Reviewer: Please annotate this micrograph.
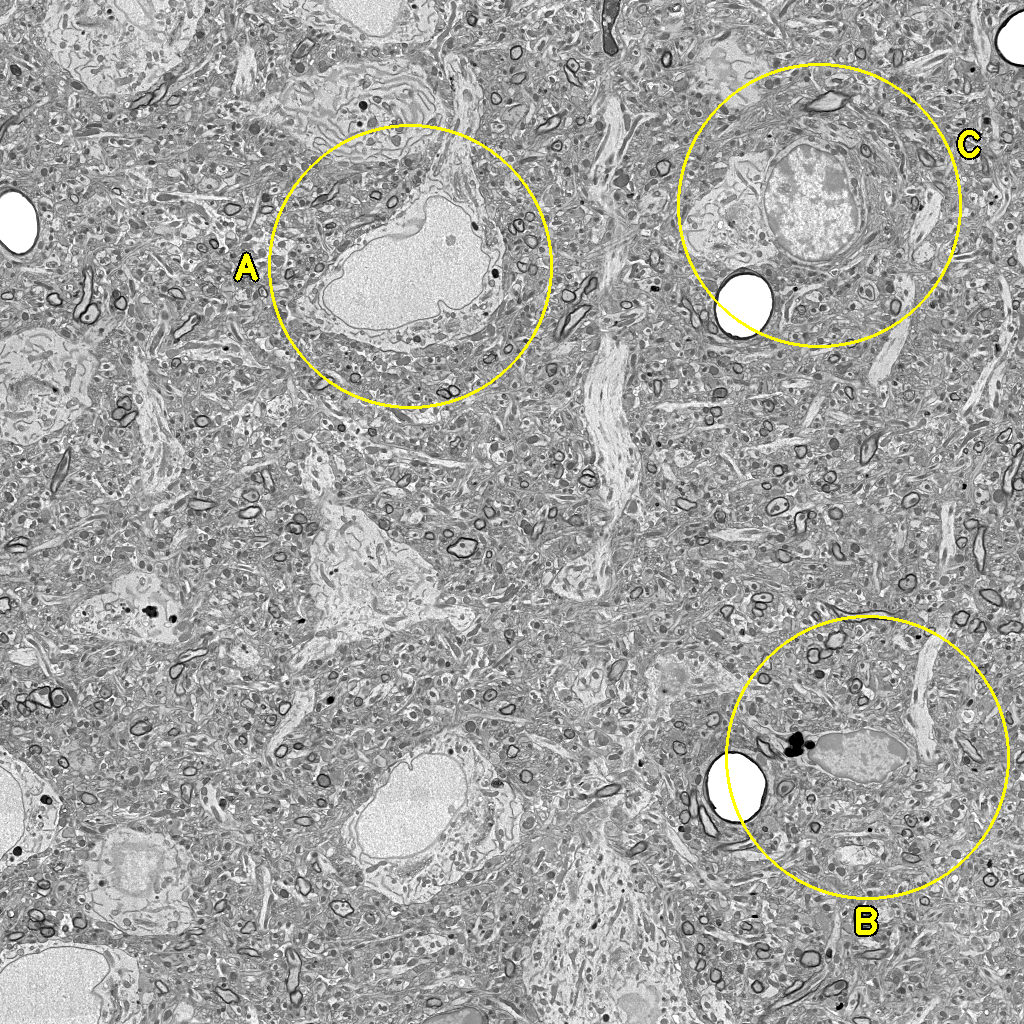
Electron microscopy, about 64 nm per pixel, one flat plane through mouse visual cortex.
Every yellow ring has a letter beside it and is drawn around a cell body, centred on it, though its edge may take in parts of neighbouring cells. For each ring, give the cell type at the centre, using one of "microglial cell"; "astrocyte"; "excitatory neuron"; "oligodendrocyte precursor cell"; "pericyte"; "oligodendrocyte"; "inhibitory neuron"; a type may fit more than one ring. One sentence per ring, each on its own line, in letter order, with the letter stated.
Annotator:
The cell in the middle of ring A is an excitatory neuron.
The cell in the middle of ring B is a microglial cell.
The cell in the middle of ring C is an oligodendrocyte.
